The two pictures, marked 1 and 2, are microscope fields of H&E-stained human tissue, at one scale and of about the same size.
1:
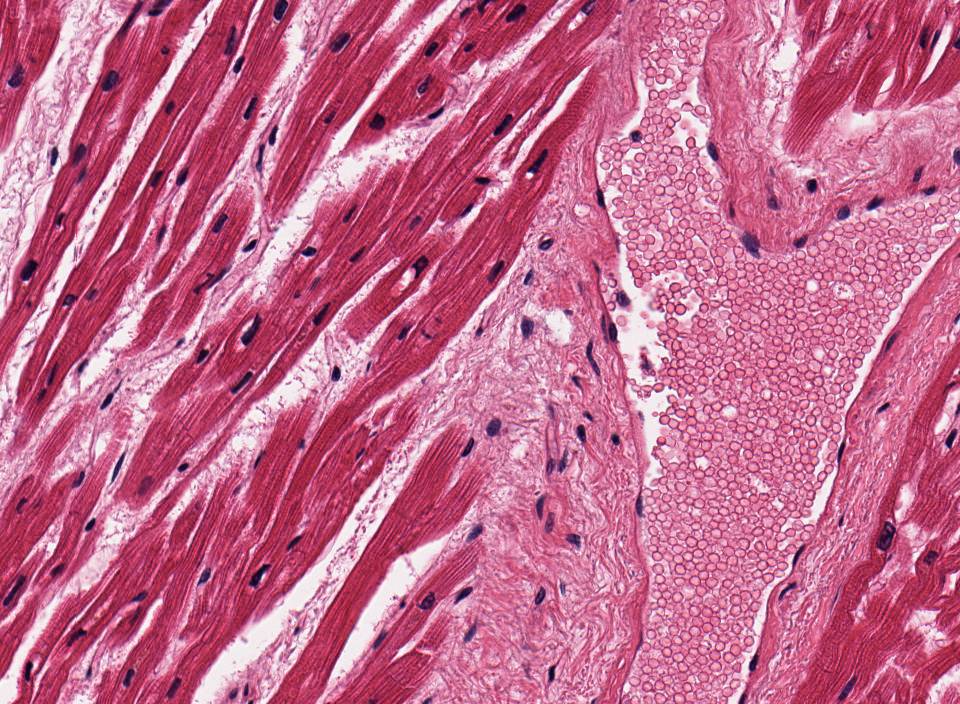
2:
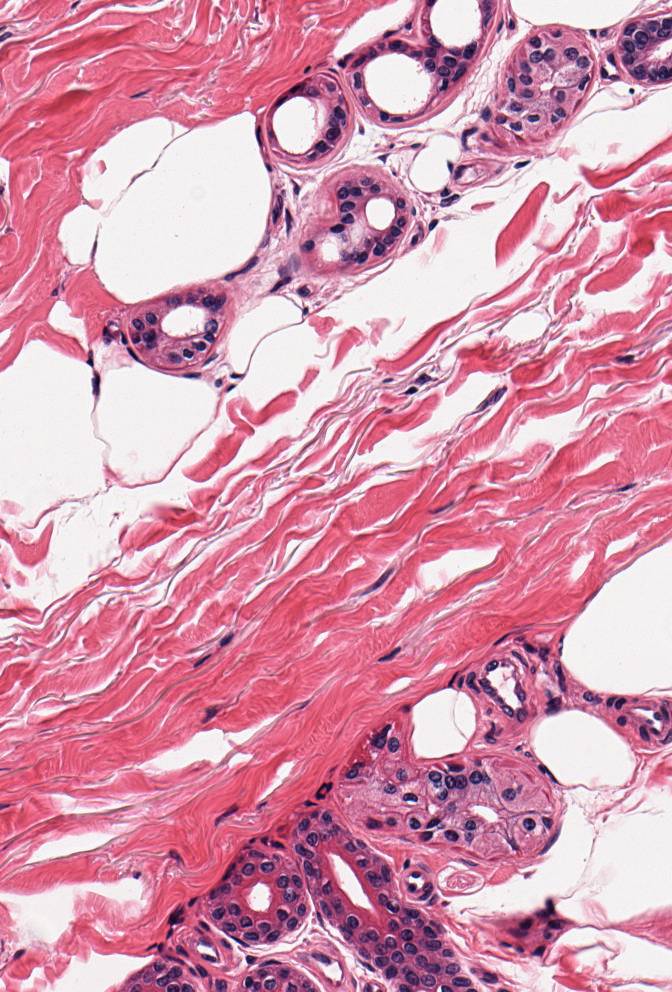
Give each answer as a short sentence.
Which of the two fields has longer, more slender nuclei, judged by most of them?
The nuclei are more elongated in field 1.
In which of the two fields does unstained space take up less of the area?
Less of field 1 is empty and white.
